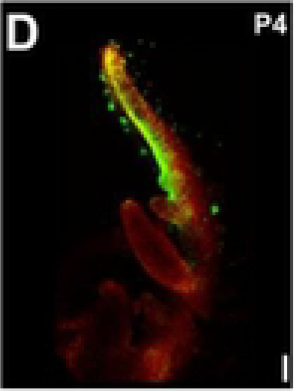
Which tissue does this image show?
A: Leaf primordia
